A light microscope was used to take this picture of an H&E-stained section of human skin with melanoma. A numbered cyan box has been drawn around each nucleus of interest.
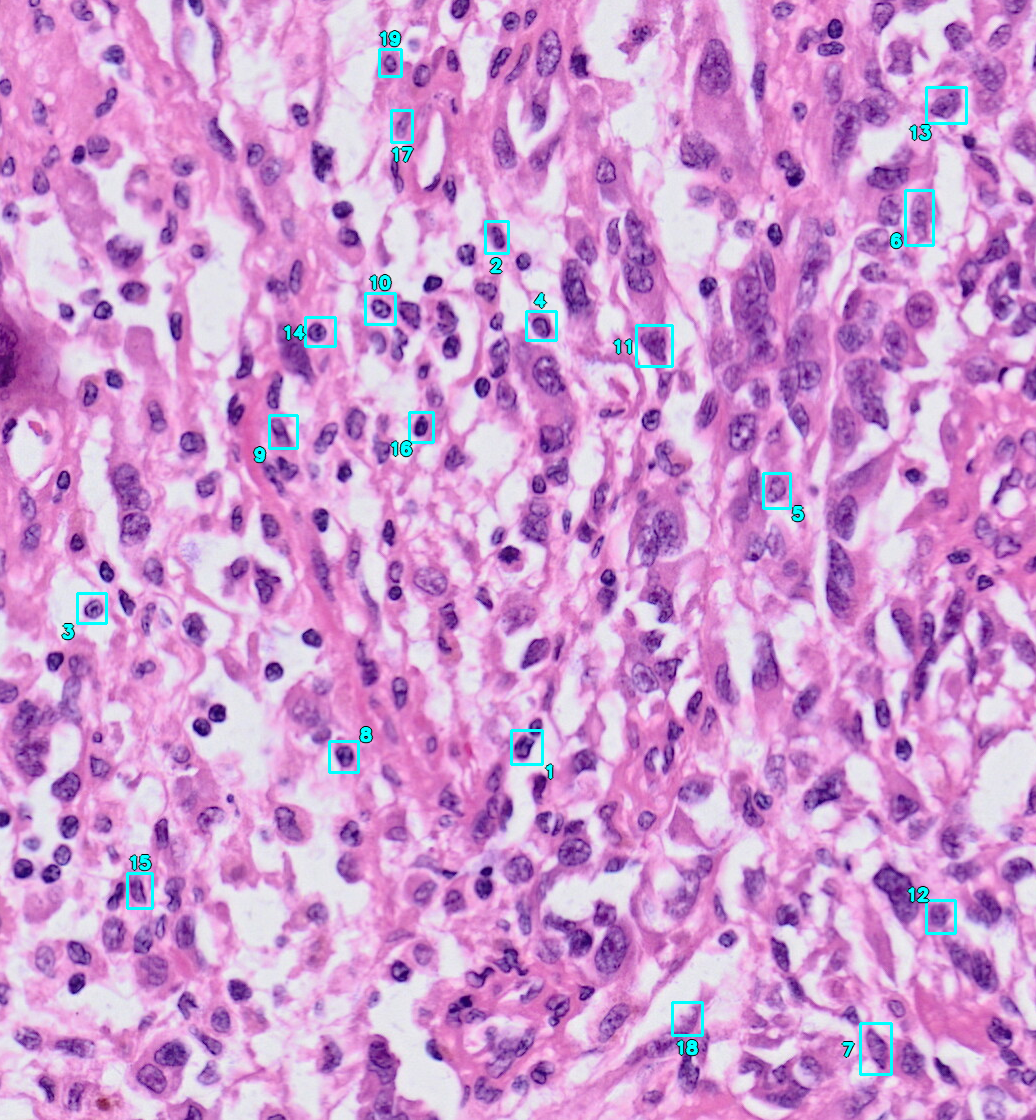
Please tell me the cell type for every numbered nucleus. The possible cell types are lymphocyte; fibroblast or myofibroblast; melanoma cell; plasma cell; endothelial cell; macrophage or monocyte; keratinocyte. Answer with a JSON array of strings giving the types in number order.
["lymphocyte", "macrophage or monocyte", "lymphocyte", "macrophage or monocyte", "melanoma cell", "melanoma cell", "macrophage or monocyte", "lymphocyte", "macrophage or monocyte", "lymphocyte", "melanoma cell", "melanoma cell", "melanoma cell", "lymphocyte", "macrophage or monocyte", "lymphocyte", "macrophage or monocyte", "melanoma cell", "macrophage or monocyte"]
